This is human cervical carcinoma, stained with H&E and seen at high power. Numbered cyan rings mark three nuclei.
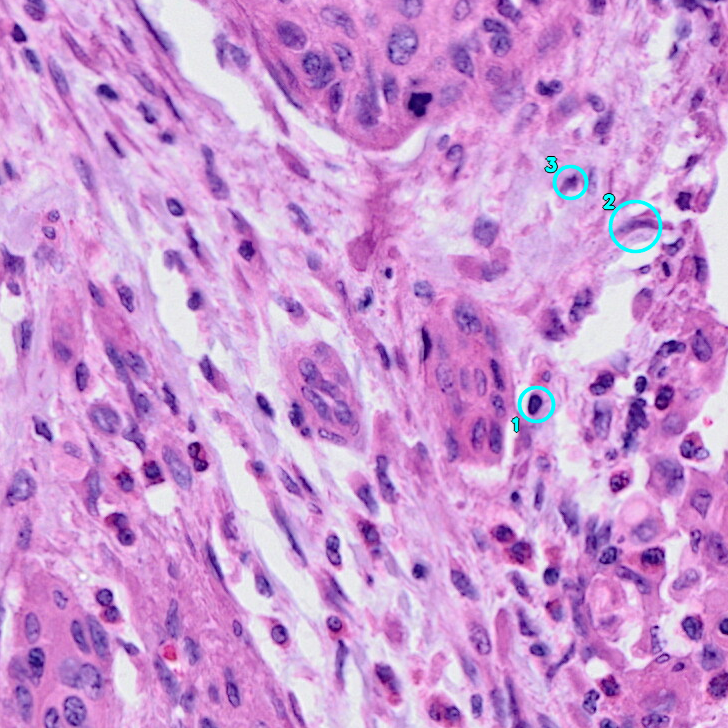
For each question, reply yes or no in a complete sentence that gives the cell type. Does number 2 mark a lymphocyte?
No, cell 2 is a fibroblast; it is not a lymphocyte.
